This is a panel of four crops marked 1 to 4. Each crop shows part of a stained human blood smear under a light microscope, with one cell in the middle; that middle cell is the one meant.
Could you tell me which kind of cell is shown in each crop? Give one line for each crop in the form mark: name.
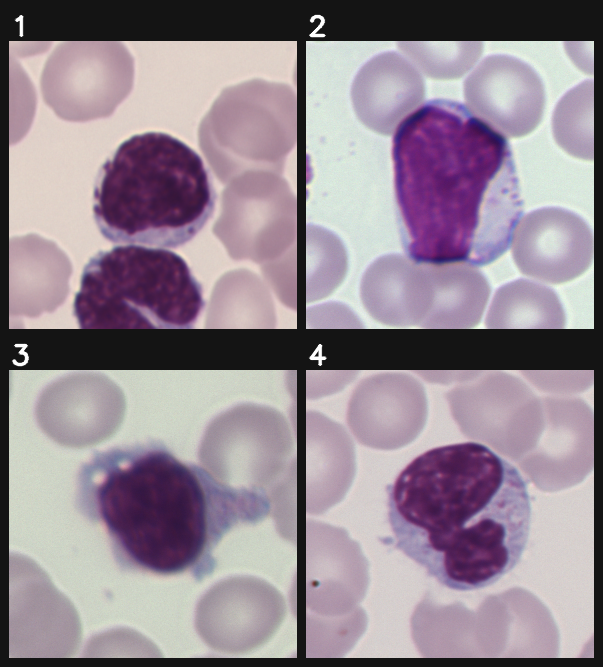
1: typical lymphocyte
2: large granular lymphocyte
3: typical lymphocyte
4: large granular lymphocyte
